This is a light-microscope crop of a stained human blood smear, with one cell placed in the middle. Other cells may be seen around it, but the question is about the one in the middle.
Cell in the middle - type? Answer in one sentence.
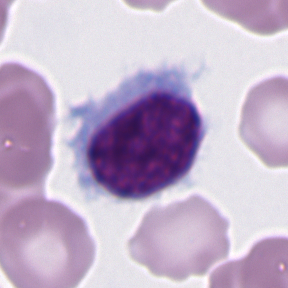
By type, the central cell of the crop is a hairy cell.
